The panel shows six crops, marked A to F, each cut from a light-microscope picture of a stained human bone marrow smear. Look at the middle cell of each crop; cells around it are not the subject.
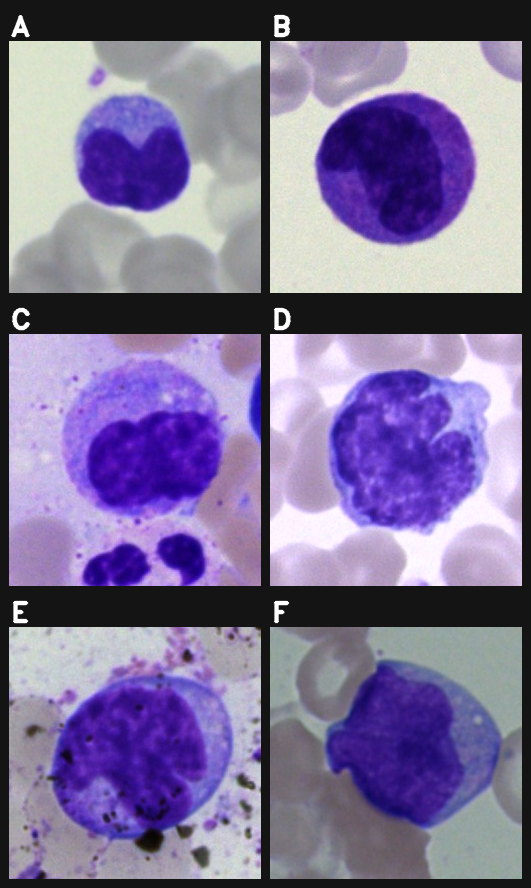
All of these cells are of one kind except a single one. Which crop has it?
F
